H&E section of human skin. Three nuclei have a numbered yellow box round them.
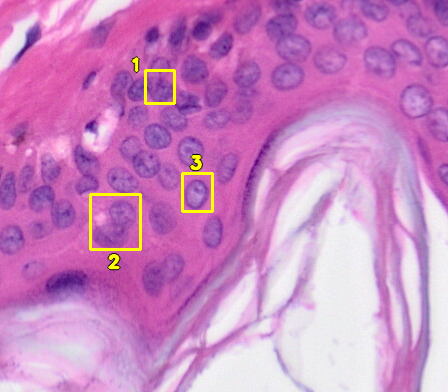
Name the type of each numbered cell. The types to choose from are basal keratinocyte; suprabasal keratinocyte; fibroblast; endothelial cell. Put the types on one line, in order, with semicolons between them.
basal keratinocyte; suprabasal keratinocyte; suprabasal keratinocyte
